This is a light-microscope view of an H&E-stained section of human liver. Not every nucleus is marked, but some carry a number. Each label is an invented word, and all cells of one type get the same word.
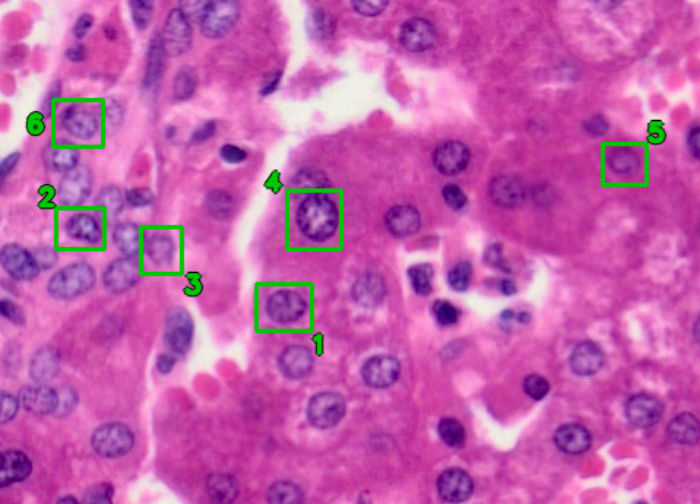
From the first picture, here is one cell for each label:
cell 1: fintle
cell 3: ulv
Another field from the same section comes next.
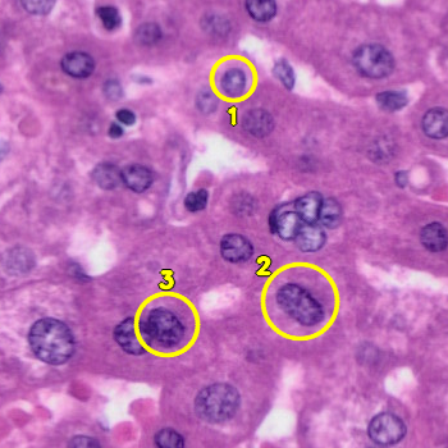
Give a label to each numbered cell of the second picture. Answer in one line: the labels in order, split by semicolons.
ulv; fintle; fintle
